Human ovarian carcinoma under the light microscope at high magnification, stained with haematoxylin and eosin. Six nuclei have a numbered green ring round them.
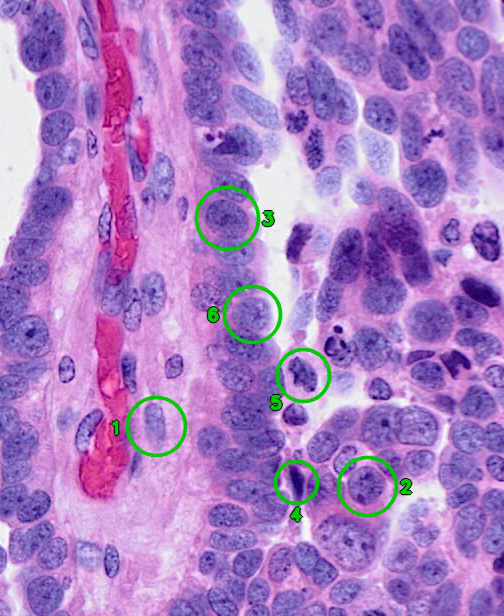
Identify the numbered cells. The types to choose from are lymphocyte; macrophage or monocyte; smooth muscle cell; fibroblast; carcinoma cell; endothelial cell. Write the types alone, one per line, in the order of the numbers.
fibroblast
carcinoma cell
carcinoma cell
carcinoma cell
macrophage or monocyte
carcinoma cell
